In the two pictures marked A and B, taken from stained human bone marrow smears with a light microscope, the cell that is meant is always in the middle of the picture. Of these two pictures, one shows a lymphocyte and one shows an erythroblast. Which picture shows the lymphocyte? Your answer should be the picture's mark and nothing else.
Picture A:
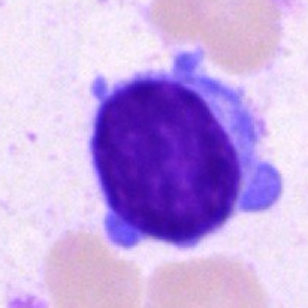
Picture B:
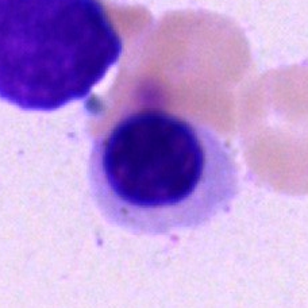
A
